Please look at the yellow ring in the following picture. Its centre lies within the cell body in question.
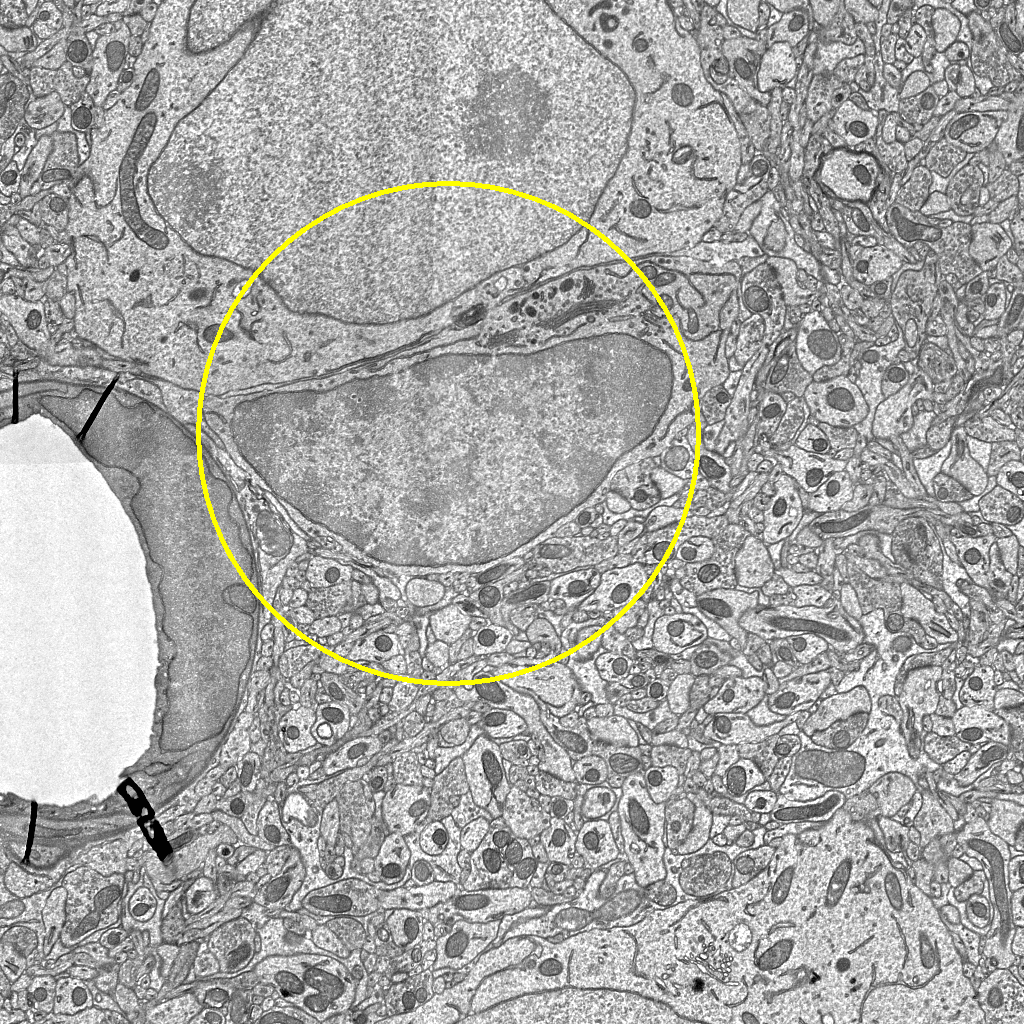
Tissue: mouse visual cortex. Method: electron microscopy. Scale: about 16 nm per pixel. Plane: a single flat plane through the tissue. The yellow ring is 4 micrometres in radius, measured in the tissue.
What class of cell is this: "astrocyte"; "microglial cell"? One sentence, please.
The centre of the ring lies in the cell body of a microglial cell.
